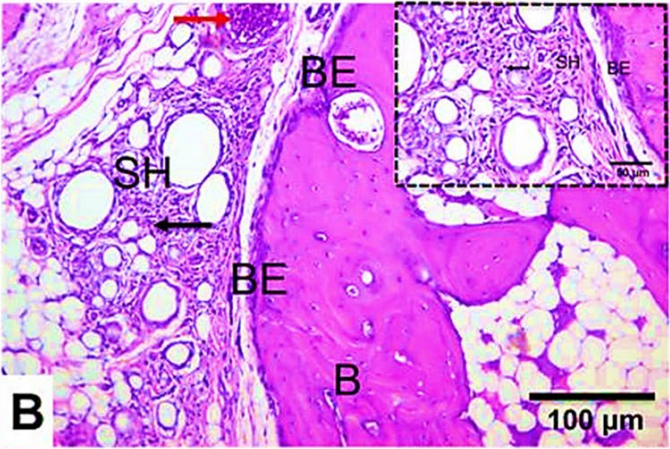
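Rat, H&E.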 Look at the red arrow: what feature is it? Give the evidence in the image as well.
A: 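The cluster lies within the soft tissue at the top of the image.
Hence: synovial vascularity.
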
